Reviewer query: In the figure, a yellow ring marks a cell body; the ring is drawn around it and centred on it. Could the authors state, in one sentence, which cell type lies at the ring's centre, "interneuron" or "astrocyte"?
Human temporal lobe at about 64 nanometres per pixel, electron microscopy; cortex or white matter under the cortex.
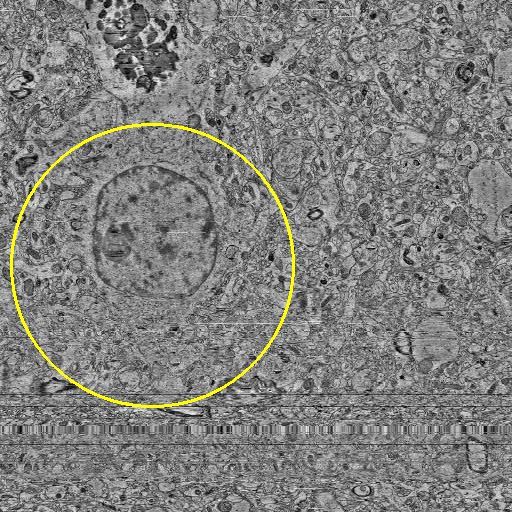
The ring is centred on an astrocyte.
